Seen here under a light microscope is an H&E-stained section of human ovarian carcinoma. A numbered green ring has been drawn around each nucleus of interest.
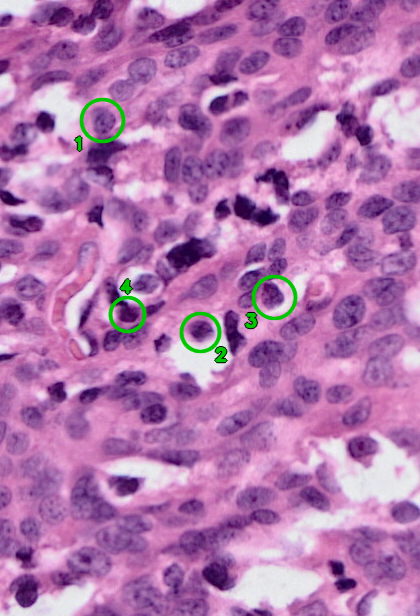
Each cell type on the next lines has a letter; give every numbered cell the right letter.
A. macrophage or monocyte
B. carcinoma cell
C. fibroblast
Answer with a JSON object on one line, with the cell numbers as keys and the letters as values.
{"1": "A", "2": "B", "3": "B", "4": "B"}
